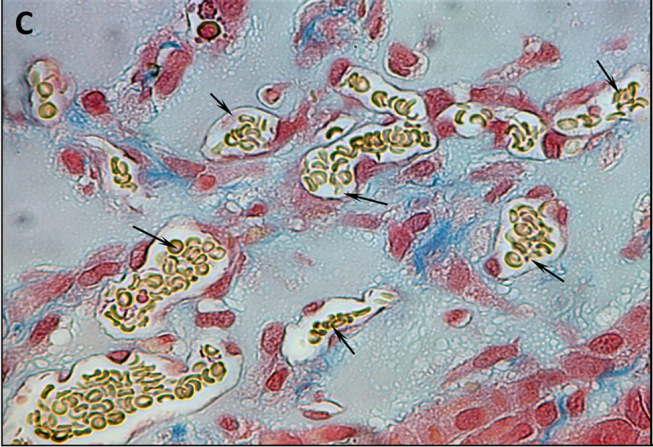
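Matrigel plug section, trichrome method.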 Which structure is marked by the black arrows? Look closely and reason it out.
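Each arrow points into a lumen packed with small round, pale-centred yellow-green cells. The lumens are bounded by thin walls with elongated red-stained nuclei. That points to this answer: Erythrocyte-contained vessels.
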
